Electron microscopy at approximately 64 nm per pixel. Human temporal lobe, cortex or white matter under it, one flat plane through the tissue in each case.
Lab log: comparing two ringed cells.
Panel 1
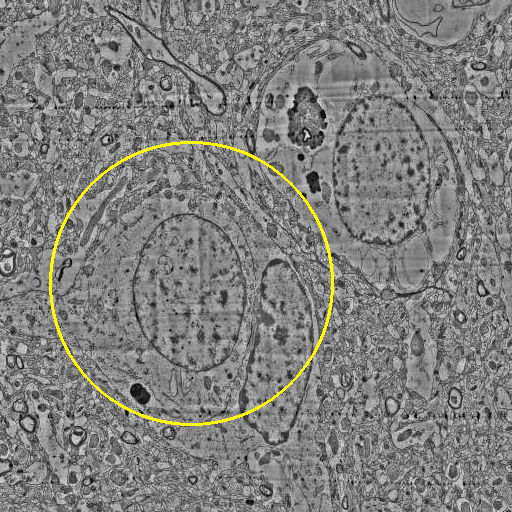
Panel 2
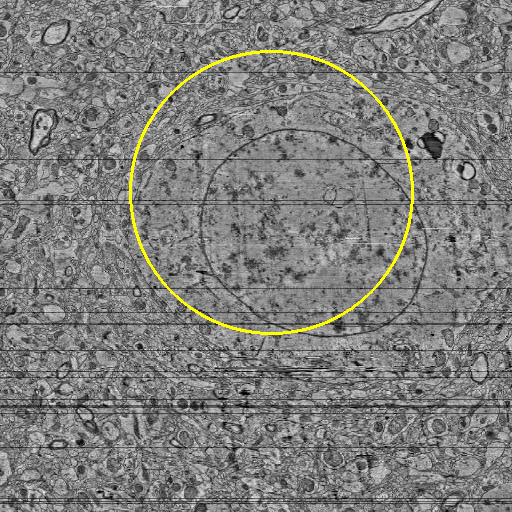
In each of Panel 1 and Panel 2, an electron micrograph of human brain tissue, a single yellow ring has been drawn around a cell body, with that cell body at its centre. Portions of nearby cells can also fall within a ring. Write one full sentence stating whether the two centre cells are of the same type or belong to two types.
The cells at the ring centres in Panel 1 and Panel 2 are of the same type.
